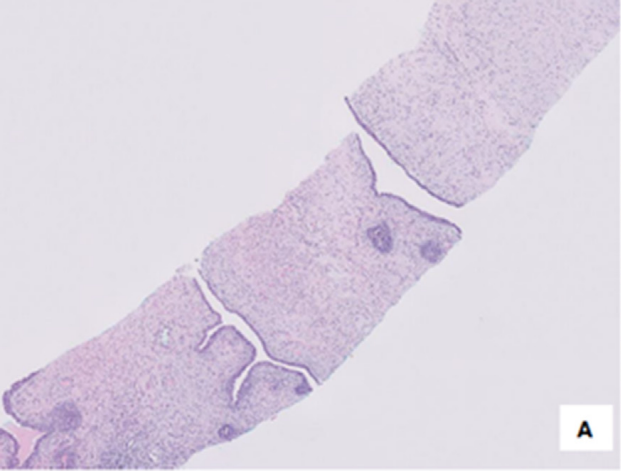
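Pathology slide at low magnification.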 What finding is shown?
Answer: biphasic fibroepithelial lesion with a leaf-like pattern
